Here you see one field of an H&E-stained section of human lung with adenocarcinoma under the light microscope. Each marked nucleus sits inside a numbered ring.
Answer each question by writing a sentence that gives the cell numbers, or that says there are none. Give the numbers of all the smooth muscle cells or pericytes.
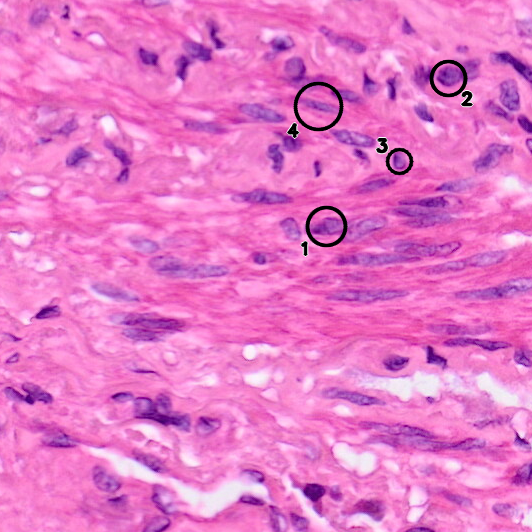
The cells marked 1, 3 and 4 in the section are smooth muscle cells or pericytes.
